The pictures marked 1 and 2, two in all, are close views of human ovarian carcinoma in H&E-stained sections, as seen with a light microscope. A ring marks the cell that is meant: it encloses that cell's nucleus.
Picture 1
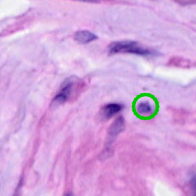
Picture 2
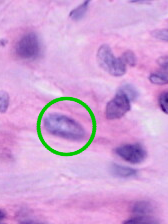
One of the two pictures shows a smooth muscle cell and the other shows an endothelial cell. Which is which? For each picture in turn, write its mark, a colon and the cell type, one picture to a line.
1: smooth muscle cell
2: endothelial cell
